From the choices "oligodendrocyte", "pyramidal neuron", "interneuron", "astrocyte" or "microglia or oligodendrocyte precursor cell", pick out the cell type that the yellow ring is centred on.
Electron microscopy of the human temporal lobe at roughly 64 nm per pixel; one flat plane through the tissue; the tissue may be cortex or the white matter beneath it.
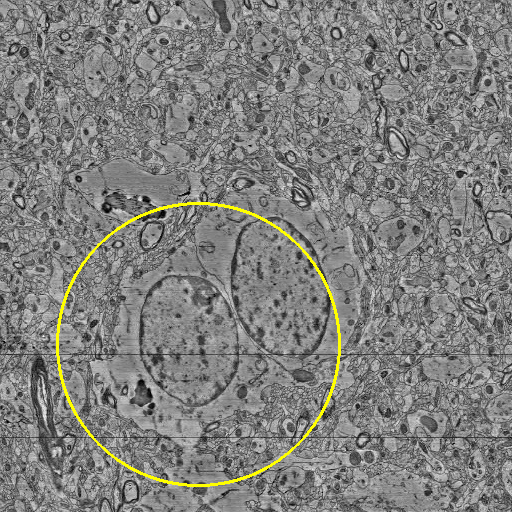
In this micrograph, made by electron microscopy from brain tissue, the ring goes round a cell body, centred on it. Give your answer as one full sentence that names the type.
The yellow ring is centred on an astrocyte, whose cell body it encircles in the picture.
